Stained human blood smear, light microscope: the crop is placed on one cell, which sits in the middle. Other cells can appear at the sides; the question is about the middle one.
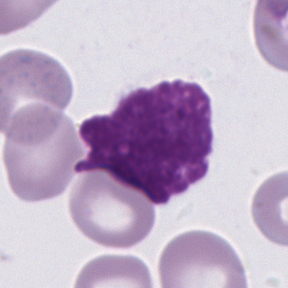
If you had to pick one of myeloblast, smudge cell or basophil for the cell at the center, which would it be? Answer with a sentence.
Here the centrally located cell is a smudge cell.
